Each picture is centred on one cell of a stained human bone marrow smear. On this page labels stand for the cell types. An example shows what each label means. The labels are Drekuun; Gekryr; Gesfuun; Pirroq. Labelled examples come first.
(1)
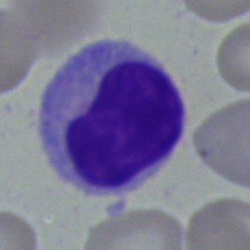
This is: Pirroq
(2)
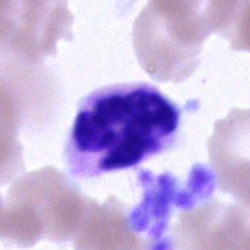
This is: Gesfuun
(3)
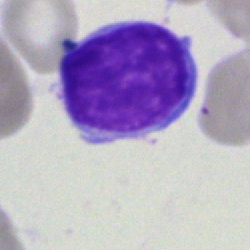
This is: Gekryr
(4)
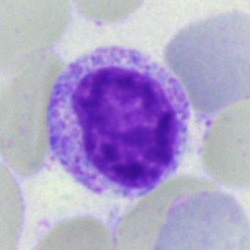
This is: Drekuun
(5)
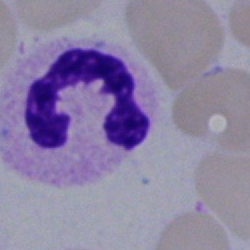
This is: Gesfuun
